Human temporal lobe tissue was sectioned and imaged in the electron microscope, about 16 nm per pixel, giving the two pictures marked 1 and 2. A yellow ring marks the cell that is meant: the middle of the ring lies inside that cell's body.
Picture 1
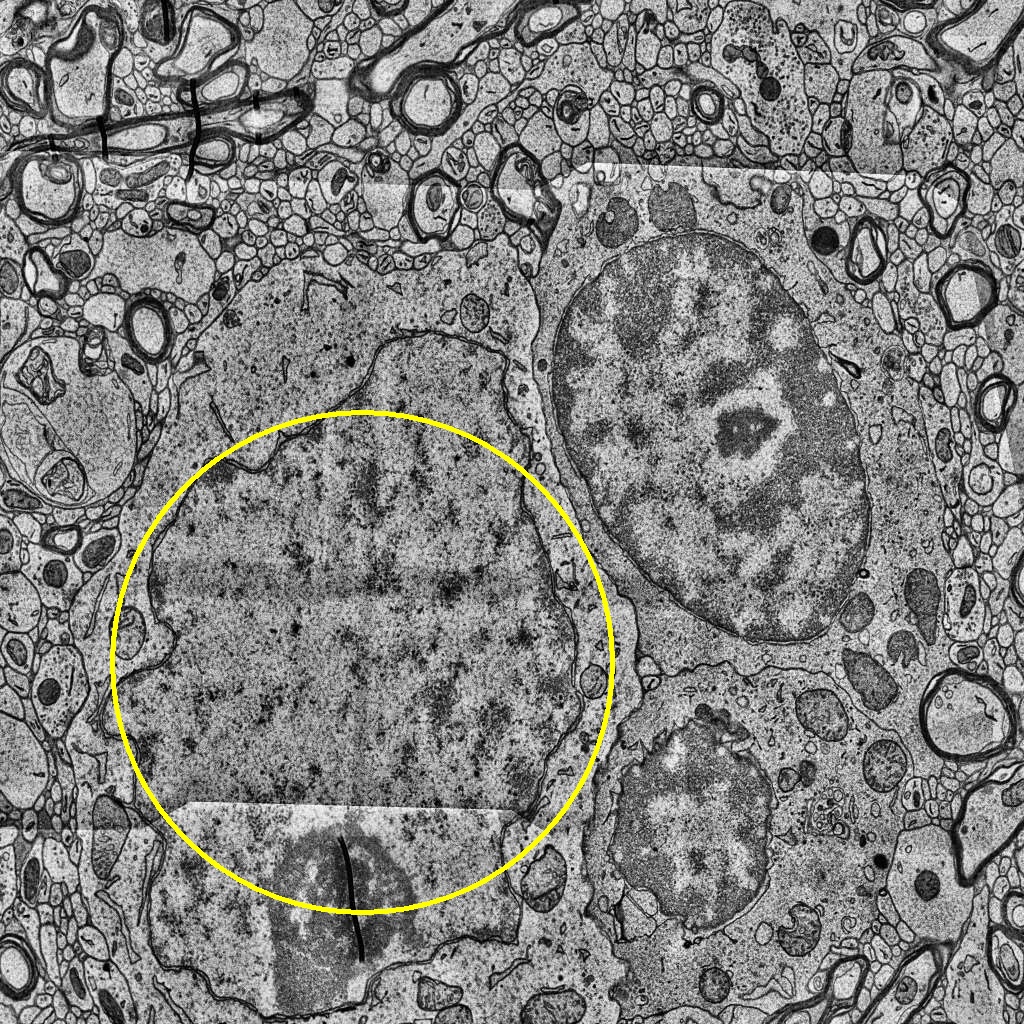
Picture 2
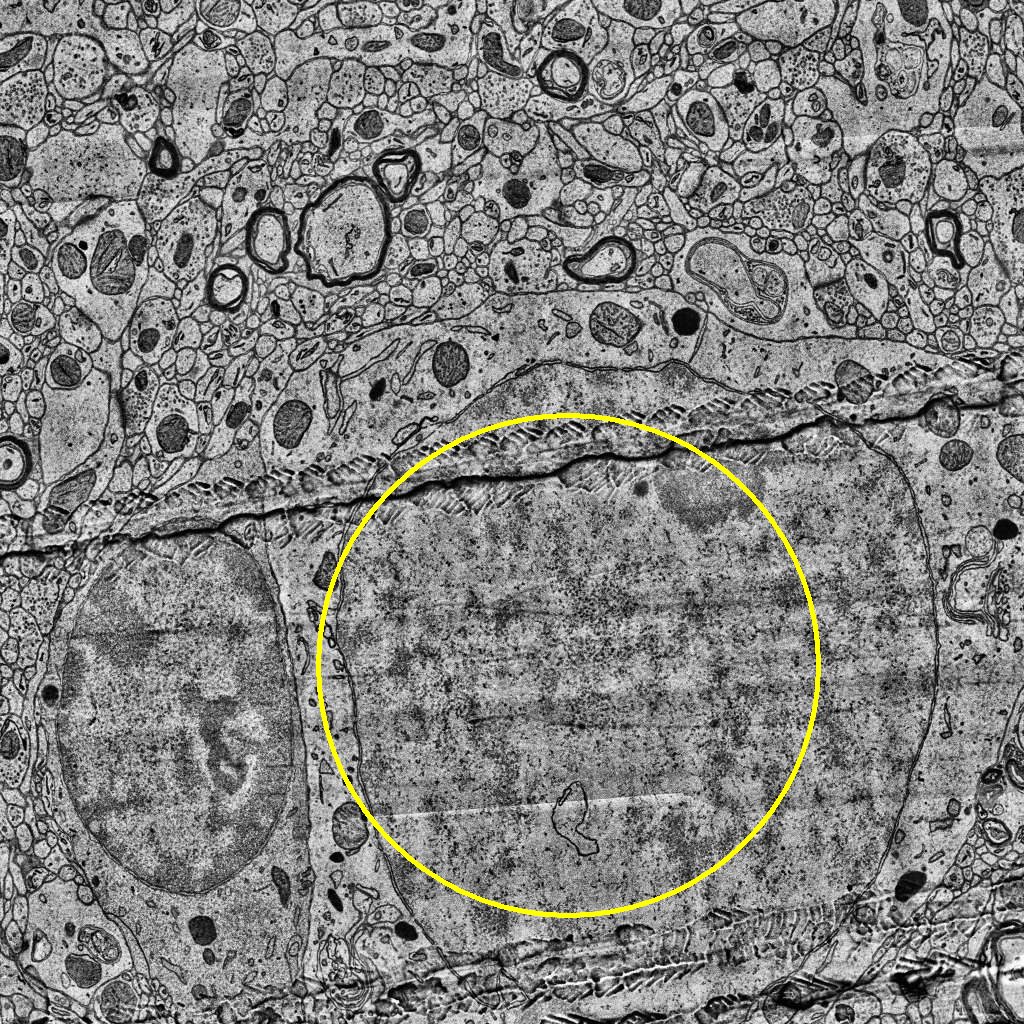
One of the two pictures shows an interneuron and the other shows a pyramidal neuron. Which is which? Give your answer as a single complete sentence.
The cell in picture 1 is an interneuron, and the one in picture 2 is a pyramidal neuron.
